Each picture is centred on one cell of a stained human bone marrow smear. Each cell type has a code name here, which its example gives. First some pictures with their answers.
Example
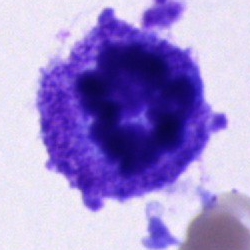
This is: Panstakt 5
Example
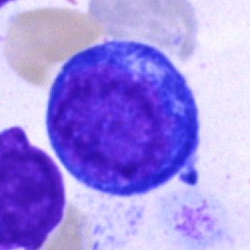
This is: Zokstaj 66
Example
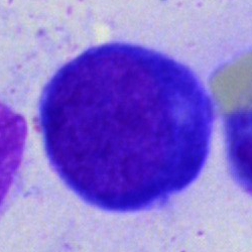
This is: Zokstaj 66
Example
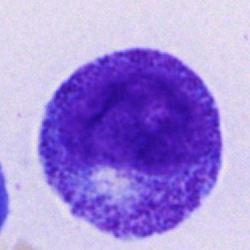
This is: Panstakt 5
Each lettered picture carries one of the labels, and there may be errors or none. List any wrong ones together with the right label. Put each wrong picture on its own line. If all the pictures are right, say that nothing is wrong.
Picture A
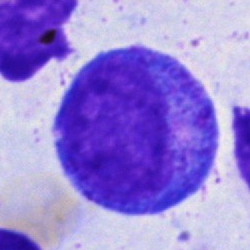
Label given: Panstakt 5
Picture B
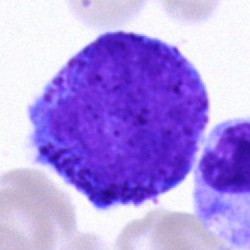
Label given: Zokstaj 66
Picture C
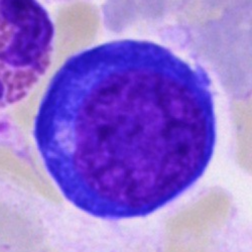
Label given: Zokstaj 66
Wrong: B (Zokstaj 66); correct: Panstakt 5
